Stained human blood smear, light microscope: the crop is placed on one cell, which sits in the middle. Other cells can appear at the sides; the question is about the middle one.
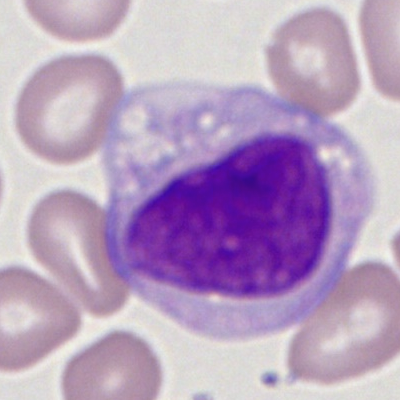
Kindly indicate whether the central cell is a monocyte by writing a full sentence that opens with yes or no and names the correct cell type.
Yes, the cell at the very centre of the crop is a monocyte.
